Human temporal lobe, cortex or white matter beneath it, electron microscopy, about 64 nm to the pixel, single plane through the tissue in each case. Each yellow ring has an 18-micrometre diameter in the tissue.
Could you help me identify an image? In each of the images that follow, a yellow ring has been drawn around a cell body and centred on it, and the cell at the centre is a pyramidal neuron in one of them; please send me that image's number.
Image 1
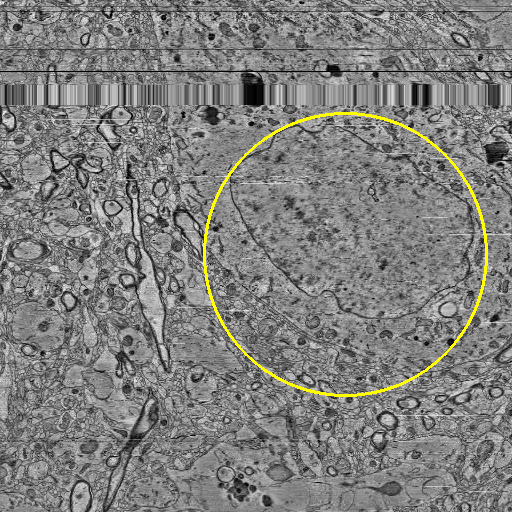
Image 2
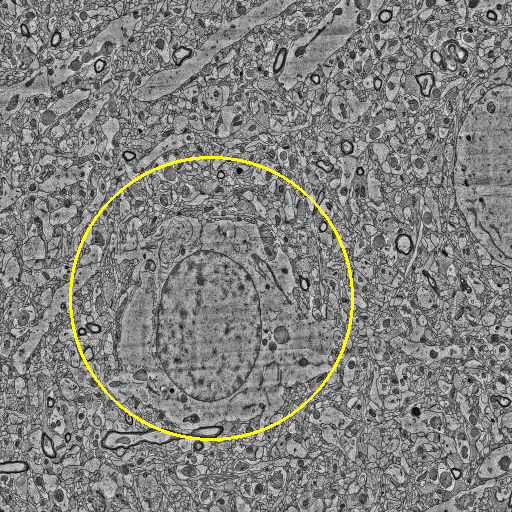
1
